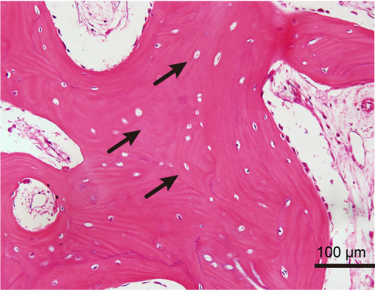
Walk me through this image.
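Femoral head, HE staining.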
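Scattered through the matrix are small oval lacunae, many of which appear as clear, pale spaces lacking a dark nucleus. Between the trabeculae lie marrow spaces containing loose, sparsely cellular tissue.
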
